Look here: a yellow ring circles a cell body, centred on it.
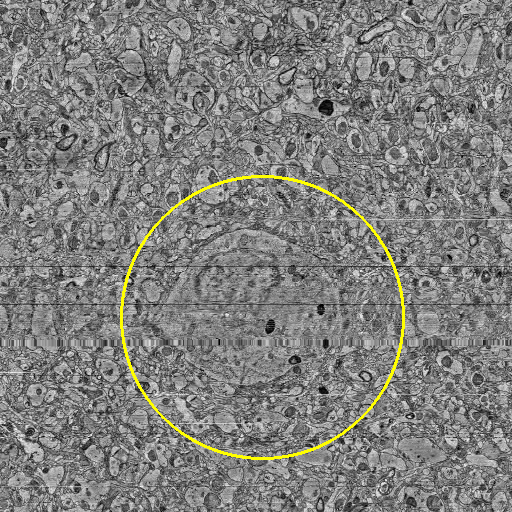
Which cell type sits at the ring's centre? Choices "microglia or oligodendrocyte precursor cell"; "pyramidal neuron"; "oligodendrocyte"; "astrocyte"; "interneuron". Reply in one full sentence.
The cell at the centre of the yellow ring in the picture is an interneuron.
